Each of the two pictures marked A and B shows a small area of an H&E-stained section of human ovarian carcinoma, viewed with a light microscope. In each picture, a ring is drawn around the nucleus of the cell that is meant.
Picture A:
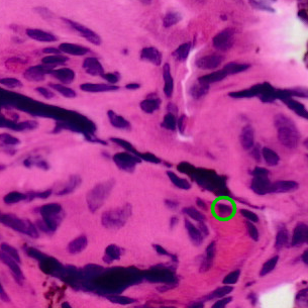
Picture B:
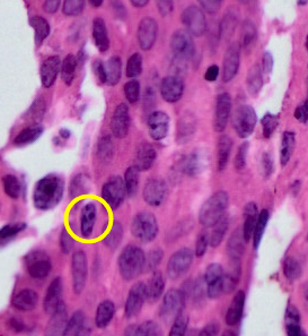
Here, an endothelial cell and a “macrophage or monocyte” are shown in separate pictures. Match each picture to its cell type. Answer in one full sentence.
Picture A is of an endothelial cell, and picture B is of a “macrophage or monocyte”.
